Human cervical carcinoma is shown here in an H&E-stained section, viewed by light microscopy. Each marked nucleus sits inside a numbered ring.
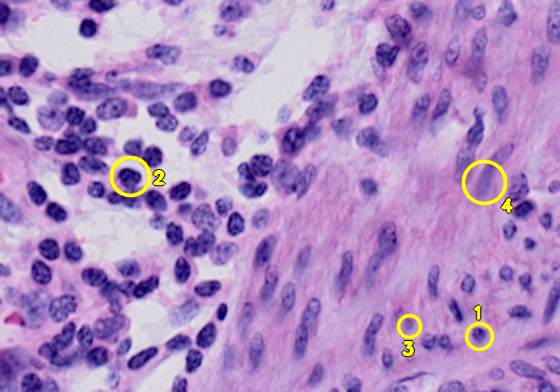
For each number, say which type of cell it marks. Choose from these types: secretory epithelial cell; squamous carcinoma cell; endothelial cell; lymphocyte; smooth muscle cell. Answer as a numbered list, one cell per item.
1. smooth muscle cell
2. lymphocyte
3. smooth muscle cell
4. smooth muscle cell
